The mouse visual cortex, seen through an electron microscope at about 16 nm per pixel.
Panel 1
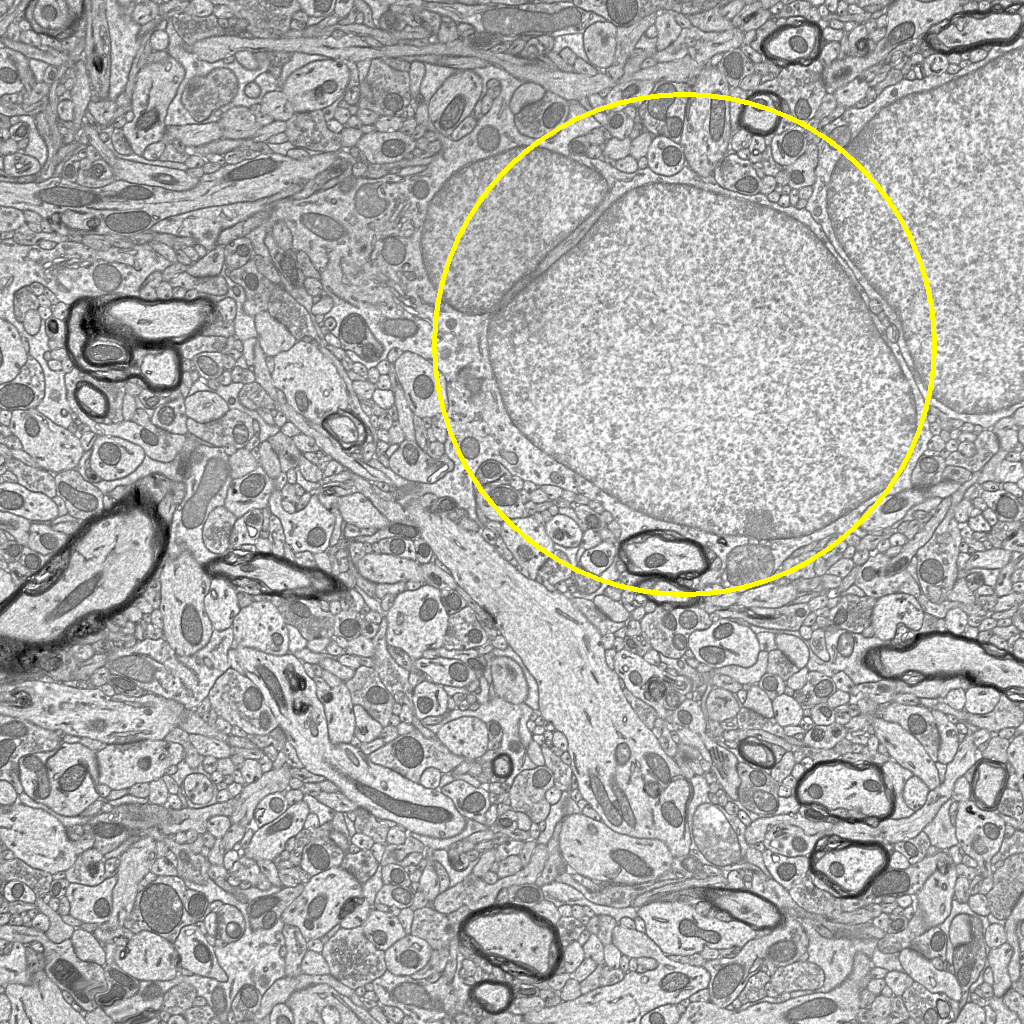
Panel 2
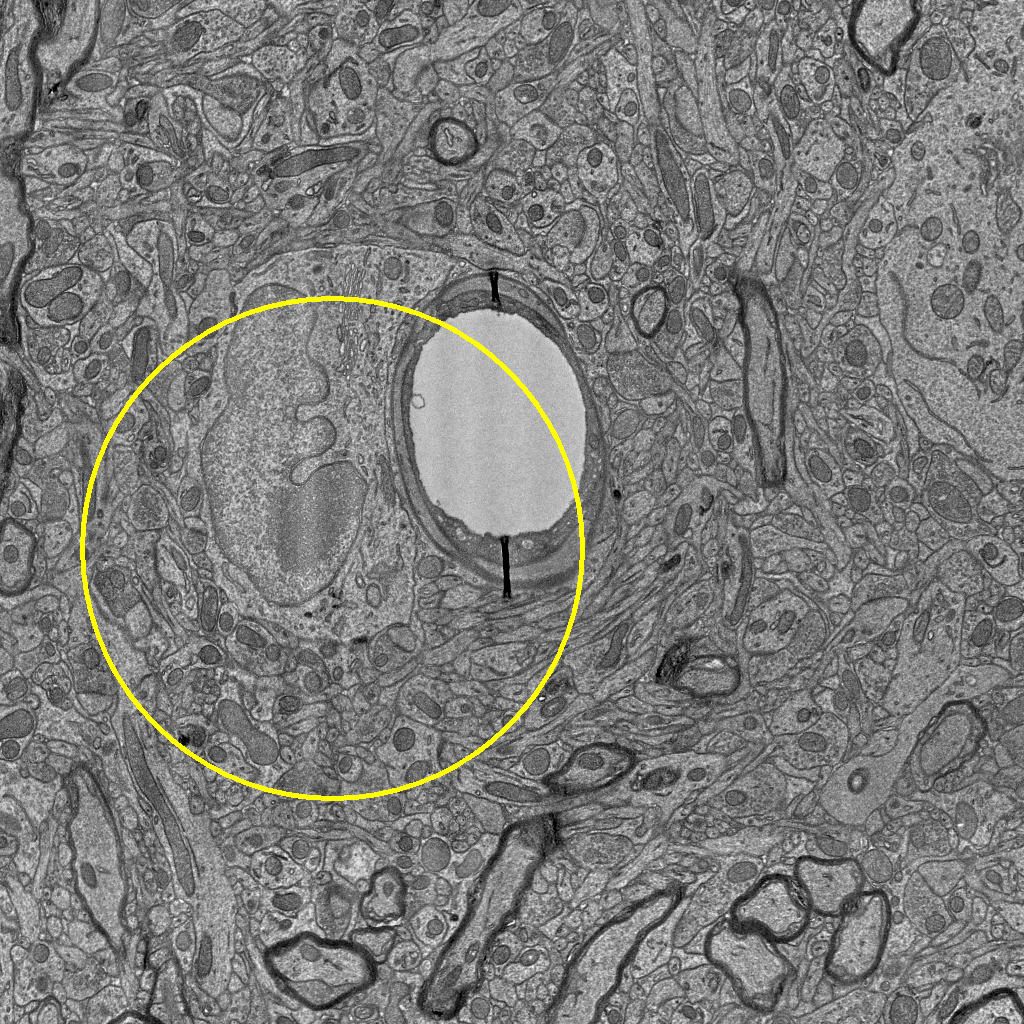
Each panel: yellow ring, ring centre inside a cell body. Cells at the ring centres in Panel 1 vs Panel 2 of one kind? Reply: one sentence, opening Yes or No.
No, Panel 1 and Panel 2 have cells of two kinds at the ring centres.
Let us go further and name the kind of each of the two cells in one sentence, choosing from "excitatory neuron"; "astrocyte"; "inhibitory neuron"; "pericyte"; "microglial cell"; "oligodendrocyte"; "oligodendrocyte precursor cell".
The second cell is an oligodendrocyte precursor cell, and the first cell is an astrocyte.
